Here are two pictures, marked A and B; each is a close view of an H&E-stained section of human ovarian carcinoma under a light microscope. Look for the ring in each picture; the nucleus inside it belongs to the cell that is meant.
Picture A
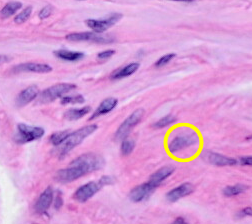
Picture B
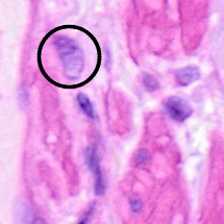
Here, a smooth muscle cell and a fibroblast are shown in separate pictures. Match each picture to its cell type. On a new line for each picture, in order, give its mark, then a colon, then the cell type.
A: smooth muscle cell
B: fibroblast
